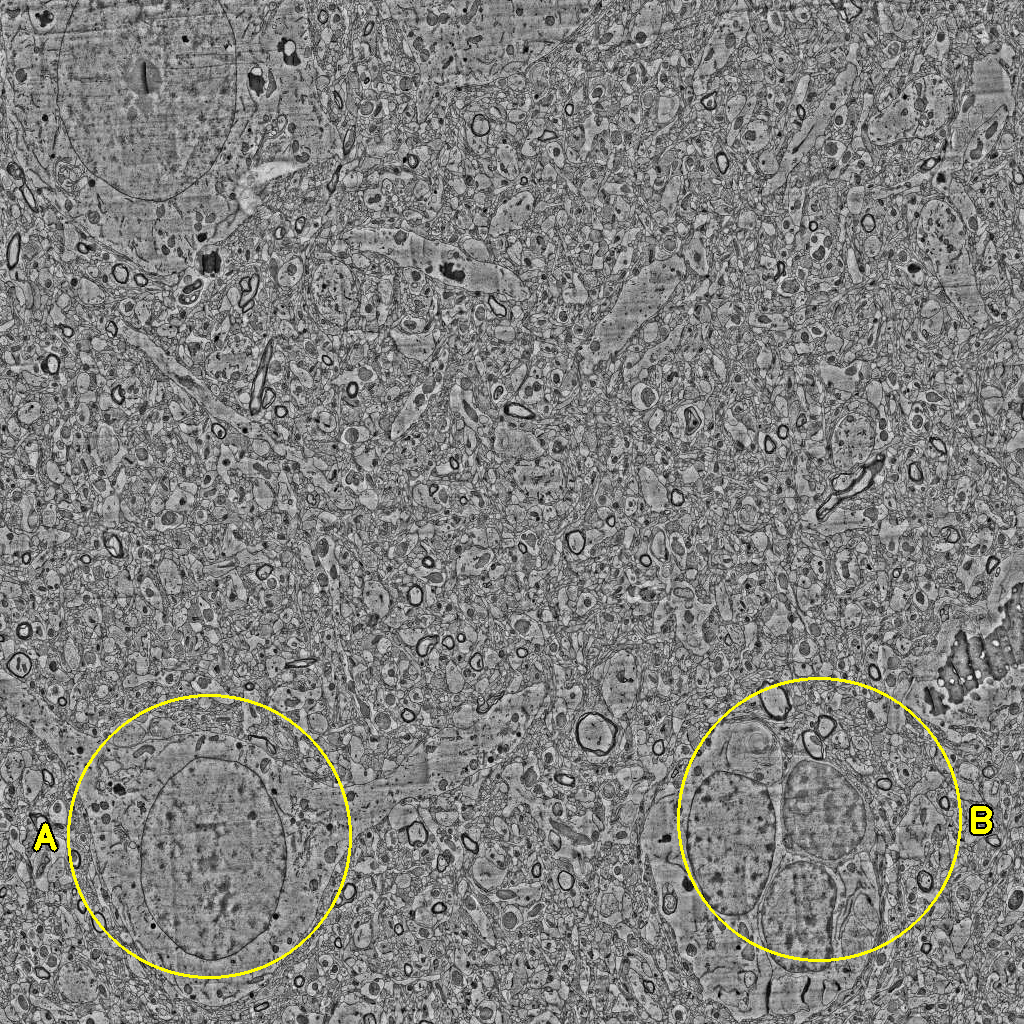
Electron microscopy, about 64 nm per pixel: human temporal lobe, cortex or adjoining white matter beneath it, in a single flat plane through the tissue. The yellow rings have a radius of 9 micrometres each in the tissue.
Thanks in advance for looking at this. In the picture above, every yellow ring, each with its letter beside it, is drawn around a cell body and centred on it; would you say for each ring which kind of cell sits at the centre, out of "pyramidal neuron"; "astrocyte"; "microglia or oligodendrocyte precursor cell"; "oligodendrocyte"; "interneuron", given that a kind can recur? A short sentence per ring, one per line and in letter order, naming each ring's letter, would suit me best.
The cell body in ring A belongs to a pyramidal neuron.
The cell body in ring B belongs to an oligodendrocyte.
